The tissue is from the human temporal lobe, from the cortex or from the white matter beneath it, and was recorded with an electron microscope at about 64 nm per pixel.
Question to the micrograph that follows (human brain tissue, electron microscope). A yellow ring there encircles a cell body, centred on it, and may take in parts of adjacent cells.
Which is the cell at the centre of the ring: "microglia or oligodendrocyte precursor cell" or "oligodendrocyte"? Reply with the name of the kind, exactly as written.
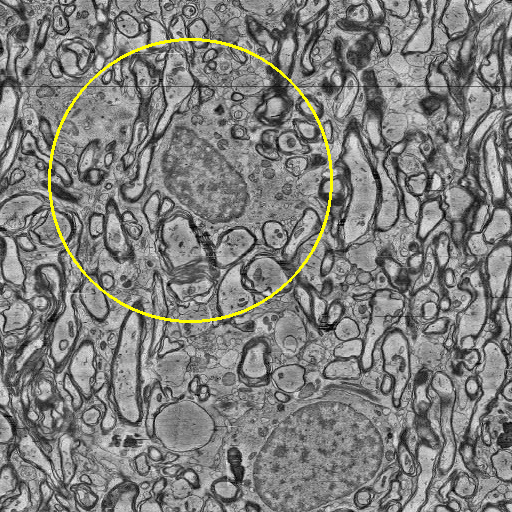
oligodendrocyte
